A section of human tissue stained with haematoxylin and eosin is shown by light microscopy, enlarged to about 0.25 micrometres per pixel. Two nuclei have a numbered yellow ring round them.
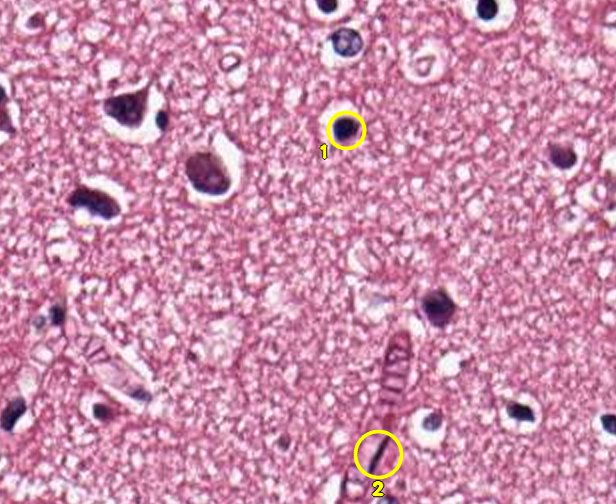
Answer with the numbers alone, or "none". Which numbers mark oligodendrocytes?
1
